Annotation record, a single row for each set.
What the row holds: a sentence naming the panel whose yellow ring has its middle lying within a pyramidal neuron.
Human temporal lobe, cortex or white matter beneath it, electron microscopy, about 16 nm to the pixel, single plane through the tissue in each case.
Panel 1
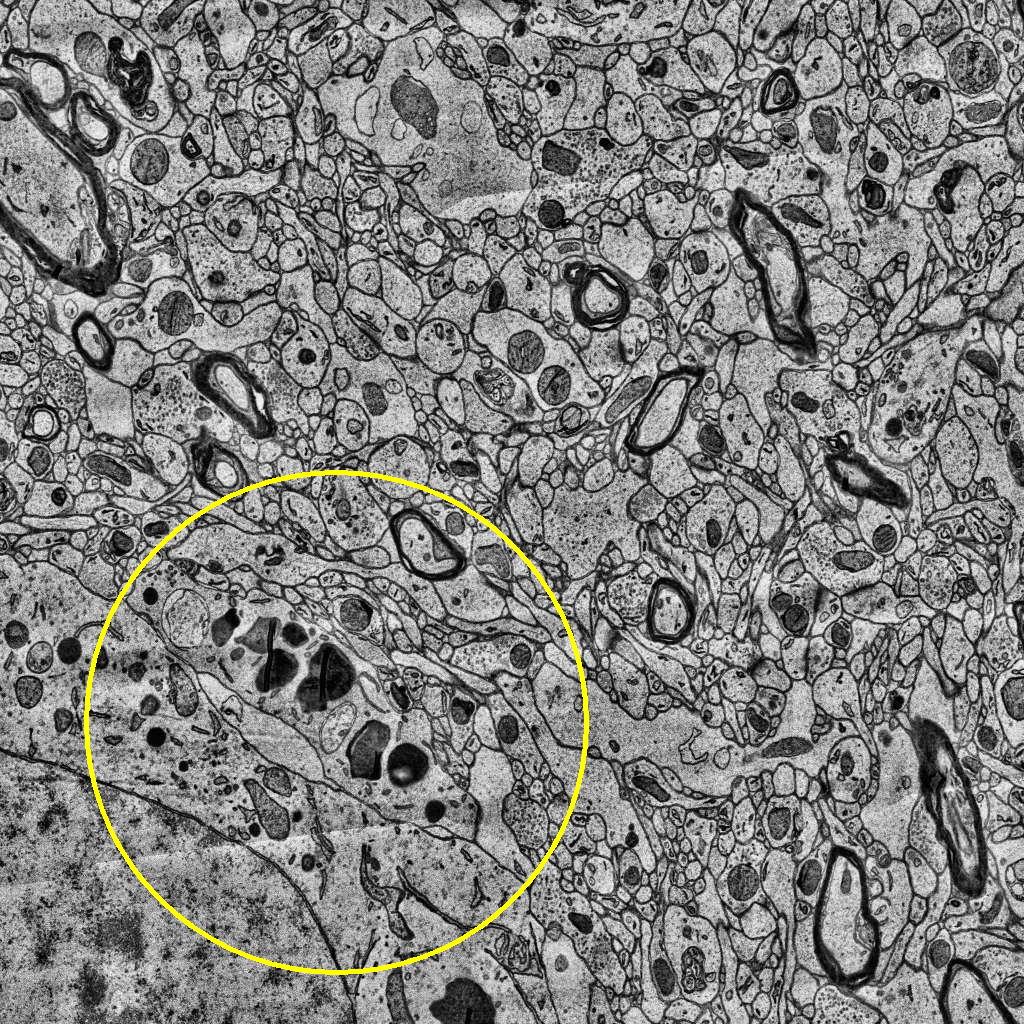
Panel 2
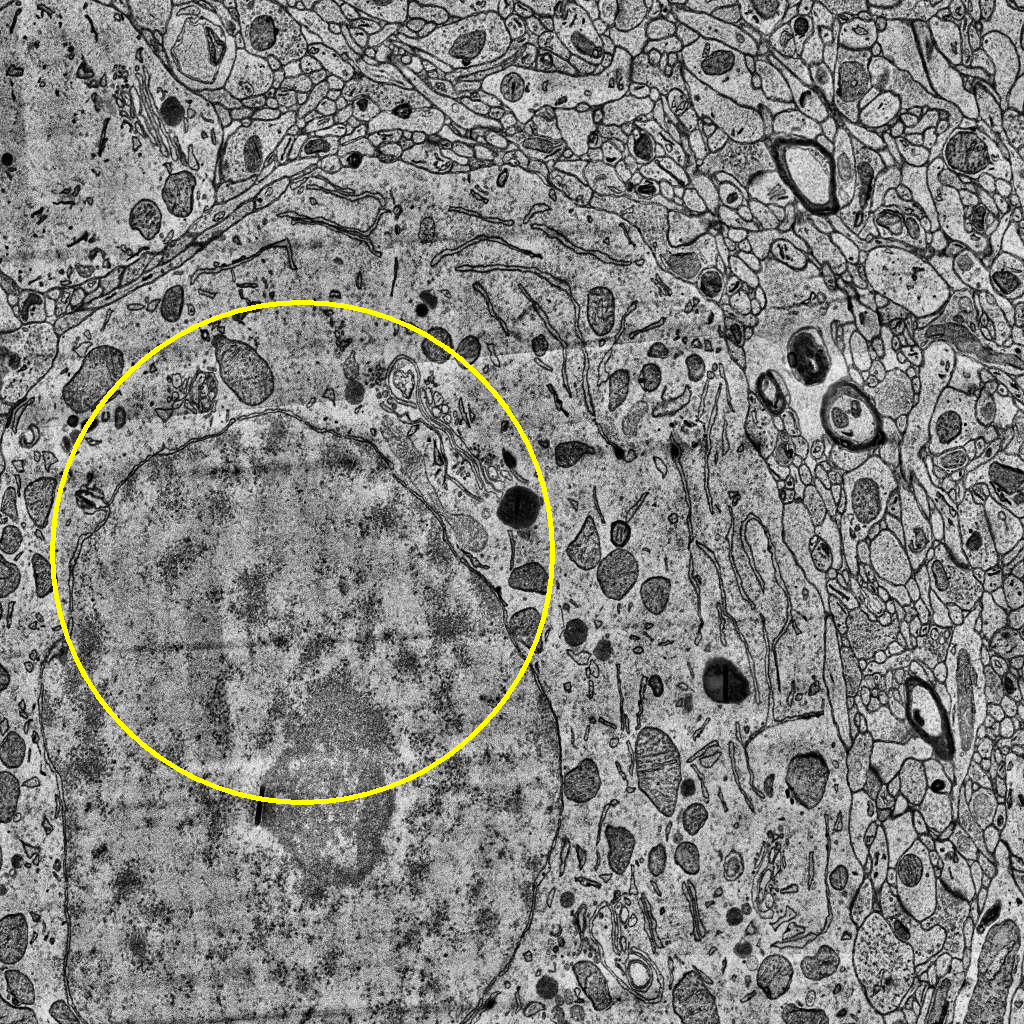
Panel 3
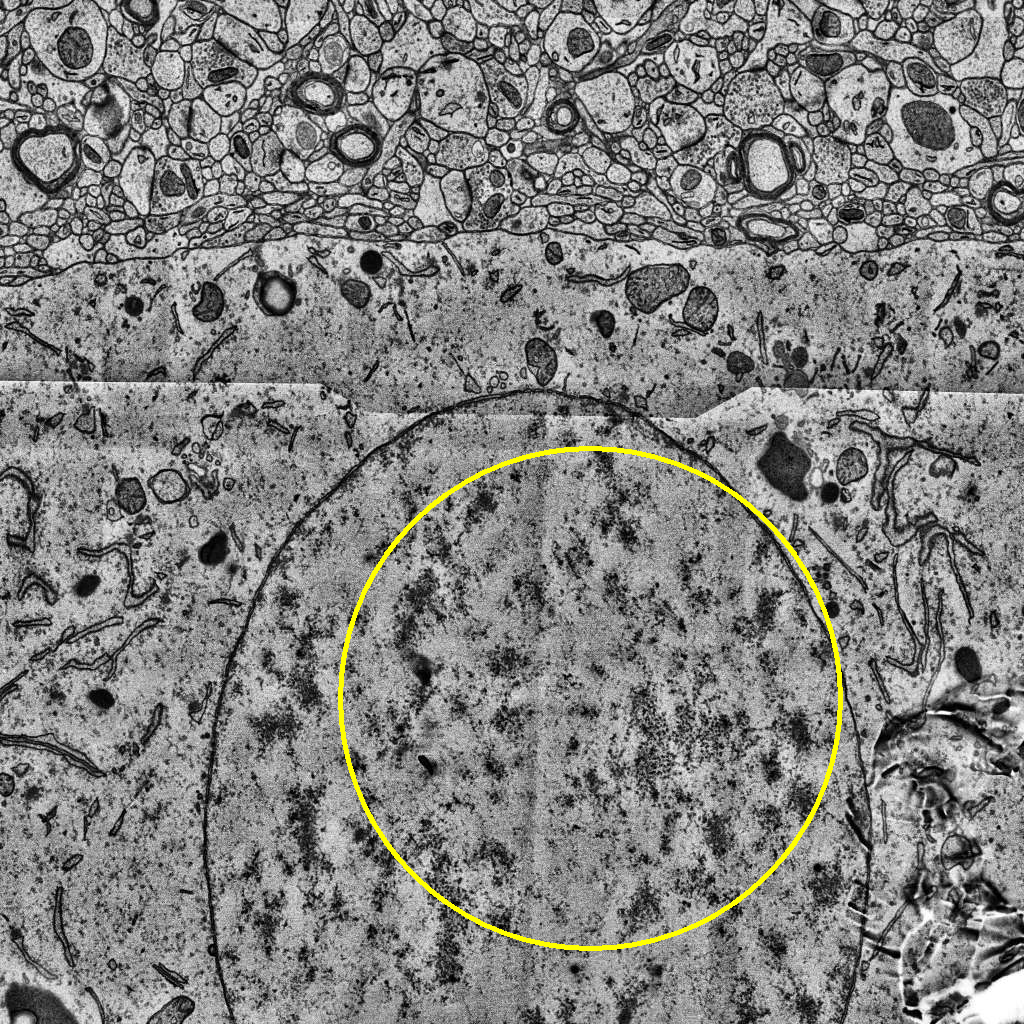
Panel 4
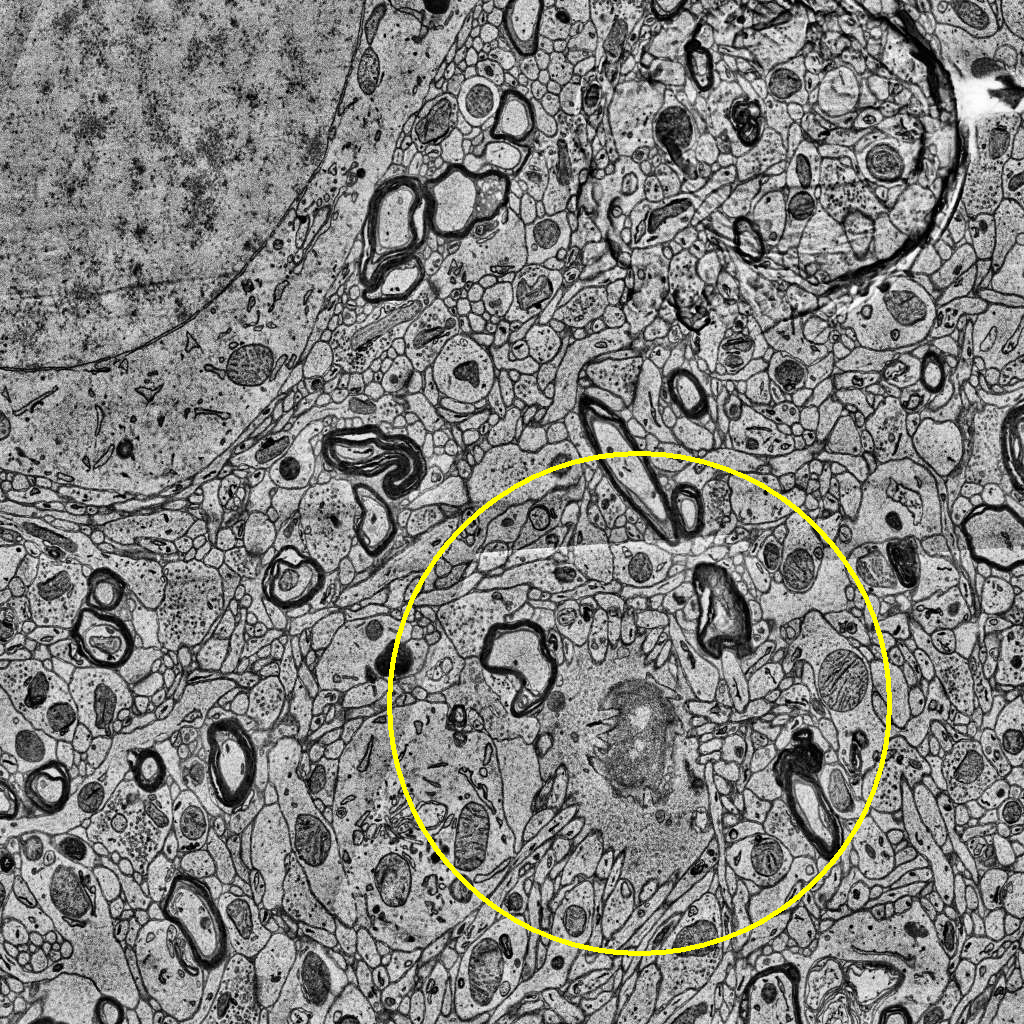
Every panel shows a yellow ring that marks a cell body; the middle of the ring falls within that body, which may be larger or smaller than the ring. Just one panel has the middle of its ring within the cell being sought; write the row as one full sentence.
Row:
In panel 3, the middle of the yellow ring lies within the cell that is sought.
